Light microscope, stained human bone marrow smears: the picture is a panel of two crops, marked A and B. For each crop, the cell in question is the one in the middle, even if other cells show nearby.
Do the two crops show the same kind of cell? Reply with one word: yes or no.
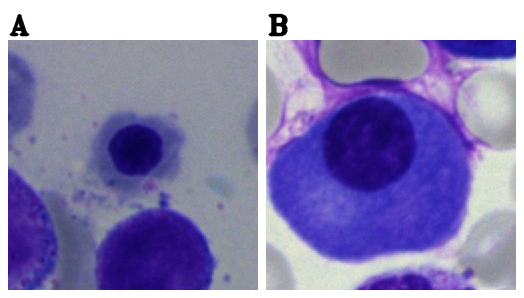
no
